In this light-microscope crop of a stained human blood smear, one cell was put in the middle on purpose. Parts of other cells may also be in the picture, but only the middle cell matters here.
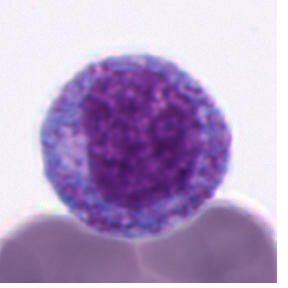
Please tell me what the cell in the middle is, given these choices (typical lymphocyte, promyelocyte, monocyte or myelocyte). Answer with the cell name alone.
promyelocyte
